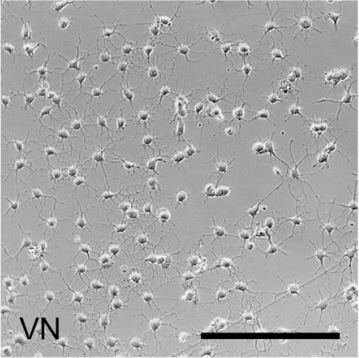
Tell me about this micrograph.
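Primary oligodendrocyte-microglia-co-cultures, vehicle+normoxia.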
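Most cells have a small, bright, phase-dark-rimmed cell body from which several thin processes radiate in different directions. The processes of neighbouring cells reach towards each other and form a loose network across the dish. Only a few cells are rounded without processes.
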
